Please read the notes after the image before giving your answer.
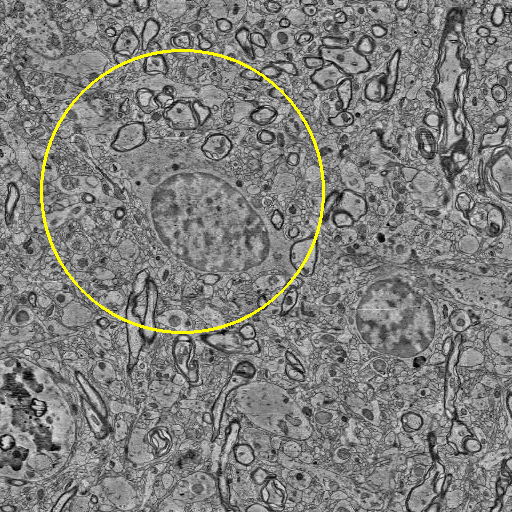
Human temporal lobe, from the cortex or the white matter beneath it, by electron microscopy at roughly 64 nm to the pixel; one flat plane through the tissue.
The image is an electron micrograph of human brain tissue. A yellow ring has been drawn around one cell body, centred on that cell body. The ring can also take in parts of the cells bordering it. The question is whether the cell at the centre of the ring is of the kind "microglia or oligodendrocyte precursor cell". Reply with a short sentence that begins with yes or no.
No, the cell at the centre is of another kind.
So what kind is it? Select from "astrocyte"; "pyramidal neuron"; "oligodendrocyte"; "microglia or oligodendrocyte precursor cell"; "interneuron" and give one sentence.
Instead, the ringed cell here is an oligodendrocyte.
